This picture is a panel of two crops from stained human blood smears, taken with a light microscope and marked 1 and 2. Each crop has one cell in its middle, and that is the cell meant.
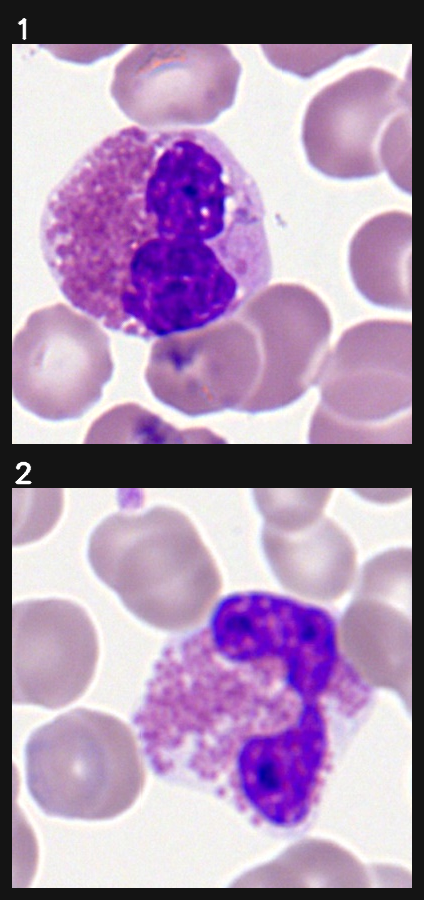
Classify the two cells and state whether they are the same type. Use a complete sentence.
Yes, eosinophils are centred in both crops.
